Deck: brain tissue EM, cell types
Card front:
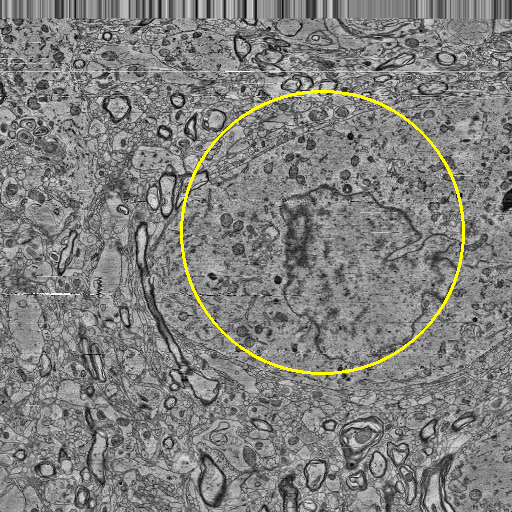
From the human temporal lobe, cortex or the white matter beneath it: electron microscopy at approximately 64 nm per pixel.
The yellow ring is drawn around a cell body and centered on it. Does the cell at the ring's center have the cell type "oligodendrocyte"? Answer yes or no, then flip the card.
no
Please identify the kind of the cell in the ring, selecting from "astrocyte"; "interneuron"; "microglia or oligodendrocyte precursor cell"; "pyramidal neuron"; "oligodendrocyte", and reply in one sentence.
Instead, the ring in this picture marks a pyramidal neuron.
